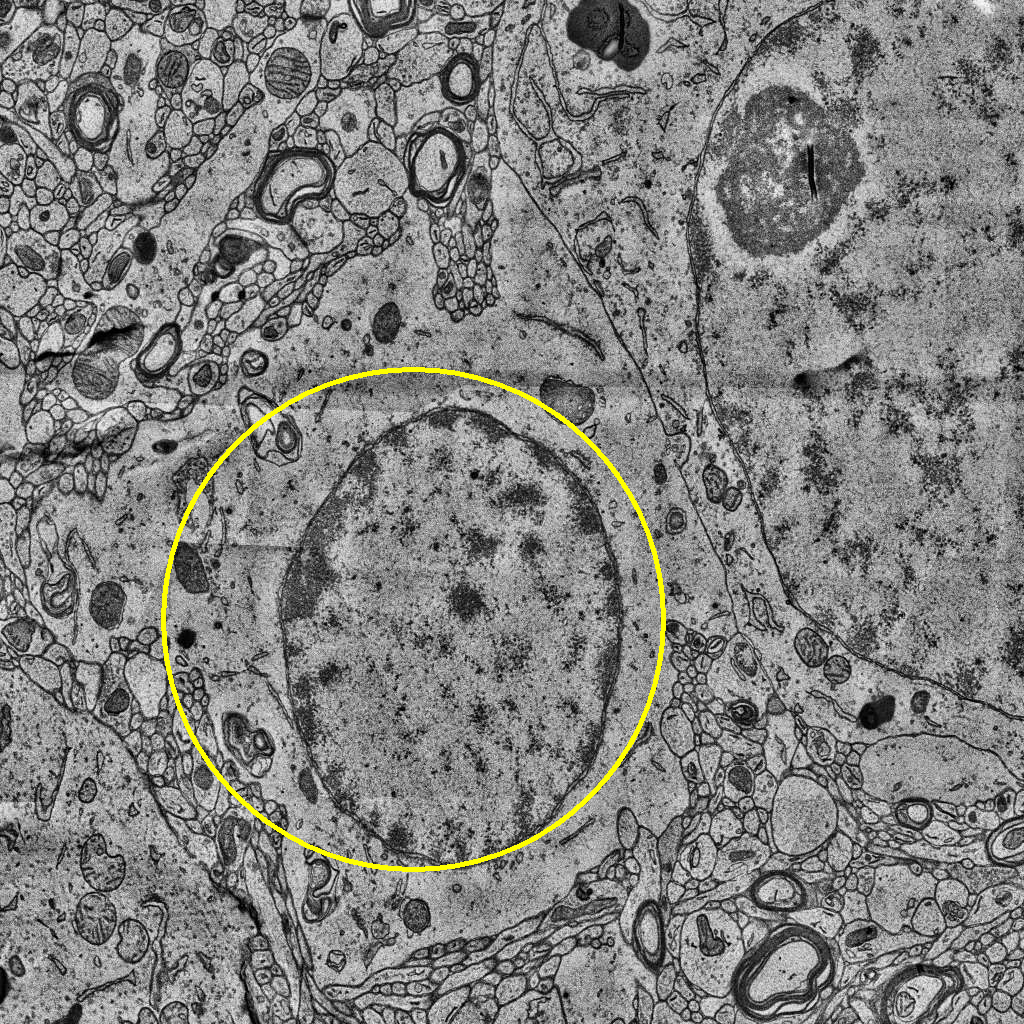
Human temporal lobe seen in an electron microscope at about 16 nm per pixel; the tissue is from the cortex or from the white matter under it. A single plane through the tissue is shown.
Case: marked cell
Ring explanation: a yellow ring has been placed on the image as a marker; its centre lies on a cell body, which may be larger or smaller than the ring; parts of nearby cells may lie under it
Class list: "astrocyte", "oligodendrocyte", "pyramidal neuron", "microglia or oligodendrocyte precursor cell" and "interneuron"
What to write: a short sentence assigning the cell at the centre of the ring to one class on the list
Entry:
The cell at the ring's centre is an astrocyte.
